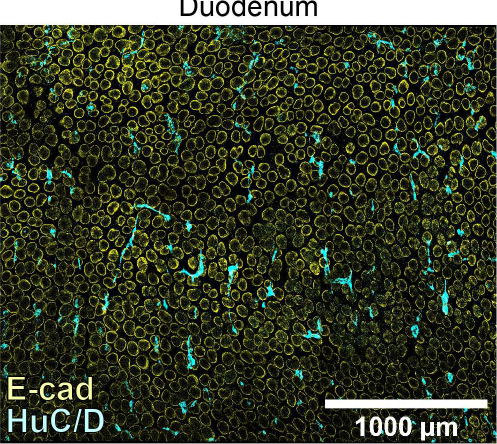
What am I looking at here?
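The yellow epithelium forms a dense sheet of small round rings packed side by side like a honeycomb. Small cyan clusters and thin strands of neurons are scattered irregularly among them, without an evident striped order.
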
